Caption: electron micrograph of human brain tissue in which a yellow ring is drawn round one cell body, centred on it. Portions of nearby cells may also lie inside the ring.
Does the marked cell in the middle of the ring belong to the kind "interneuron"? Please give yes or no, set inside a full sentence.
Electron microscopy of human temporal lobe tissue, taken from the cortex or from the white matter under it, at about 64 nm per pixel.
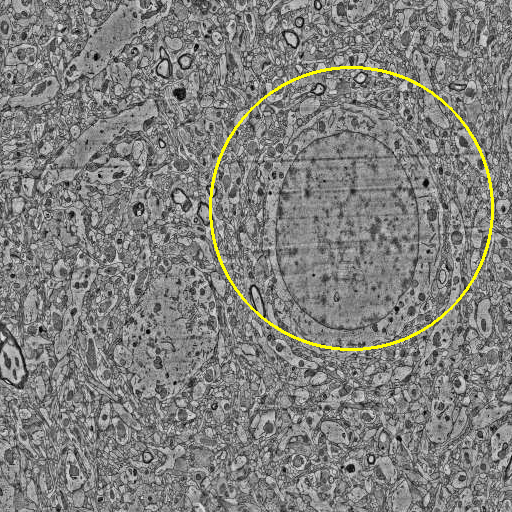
No, the marked cell that the ring is centred on in the picture is of another kind.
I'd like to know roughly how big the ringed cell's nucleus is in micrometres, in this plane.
In this plane, approximately 13 by 9 micrometers.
